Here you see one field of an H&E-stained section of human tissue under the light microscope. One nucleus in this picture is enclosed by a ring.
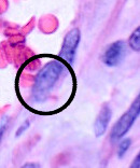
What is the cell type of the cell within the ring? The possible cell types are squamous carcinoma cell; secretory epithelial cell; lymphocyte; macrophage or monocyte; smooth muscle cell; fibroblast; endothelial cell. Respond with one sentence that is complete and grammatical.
Just put down that the cell within the ring is an endothelial cell.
